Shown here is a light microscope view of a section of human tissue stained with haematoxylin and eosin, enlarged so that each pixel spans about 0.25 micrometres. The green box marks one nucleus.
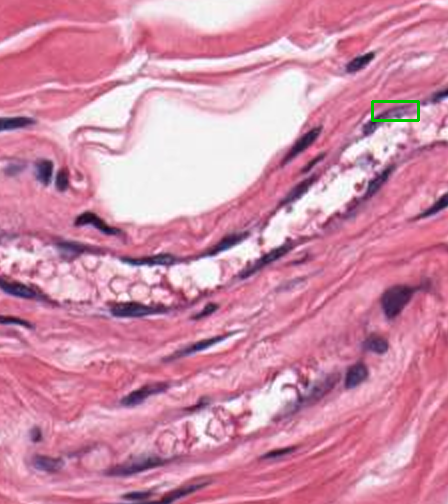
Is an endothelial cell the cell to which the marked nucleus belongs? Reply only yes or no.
yes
